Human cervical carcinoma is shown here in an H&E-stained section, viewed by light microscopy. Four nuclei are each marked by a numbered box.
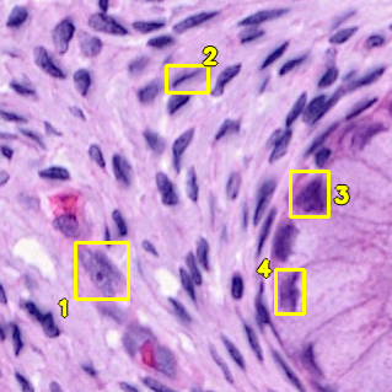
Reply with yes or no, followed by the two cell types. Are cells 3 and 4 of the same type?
Yes, both cells, 3 and 4, are secretory epithelial cells.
